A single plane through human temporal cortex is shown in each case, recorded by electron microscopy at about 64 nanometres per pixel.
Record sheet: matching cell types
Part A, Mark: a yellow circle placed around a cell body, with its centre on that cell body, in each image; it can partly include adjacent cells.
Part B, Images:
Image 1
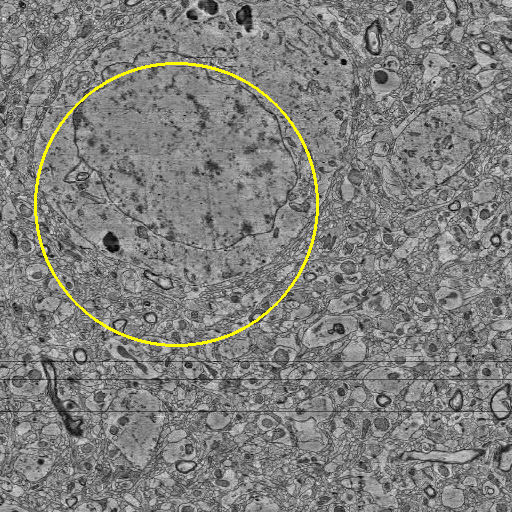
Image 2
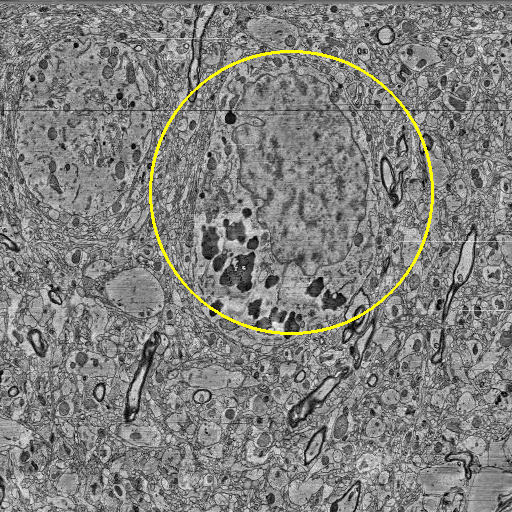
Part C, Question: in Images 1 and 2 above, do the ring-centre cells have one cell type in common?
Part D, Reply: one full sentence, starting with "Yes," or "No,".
No, the ring-centre cells of Image 1 and Image 2 are each of a separate cell type.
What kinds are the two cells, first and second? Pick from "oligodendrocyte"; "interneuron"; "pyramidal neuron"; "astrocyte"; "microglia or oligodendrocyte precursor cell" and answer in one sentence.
The second picture holds an interneuron in its ring, and the first holds a pyramidal neuron.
